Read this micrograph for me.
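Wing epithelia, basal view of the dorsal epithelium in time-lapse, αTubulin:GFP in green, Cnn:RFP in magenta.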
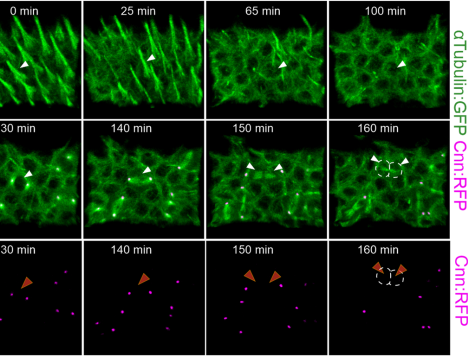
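In the first frames the green signal forms long, bright, obliquely running bundles, and in later frames these bundles are gone and a fainter polygonal meshwork outlining the cells remains. From the middle frames on, small bright dots appear within the cells, and in the bottom row the magenta channel alone shows them as scattered point-like spots.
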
